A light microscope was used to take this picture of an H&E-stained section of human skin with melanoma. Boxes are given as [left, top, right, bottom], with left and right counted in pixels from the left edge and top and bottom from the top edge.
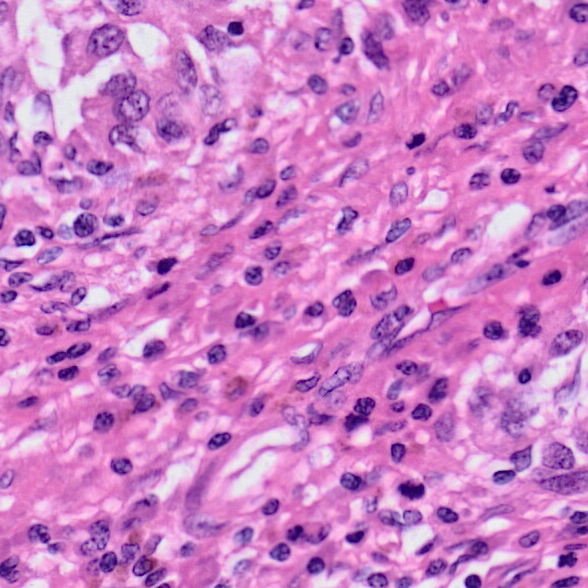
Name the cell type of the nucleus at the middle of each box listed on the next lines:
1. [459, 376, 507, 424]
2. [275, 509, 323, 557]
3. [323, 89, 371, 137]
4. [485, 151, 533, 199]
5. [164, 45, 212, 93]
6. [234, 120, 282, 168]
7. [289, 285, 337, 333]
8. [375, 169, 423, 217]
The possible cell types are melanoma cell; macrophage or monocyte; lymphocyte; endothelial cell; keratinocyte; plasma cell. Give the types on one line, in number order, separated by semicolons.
melanoma cell; plasma cell; endothelial cell; lymphocyte; melanoma cell; macrophage or monocyte; plasma cell; endothelial cell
